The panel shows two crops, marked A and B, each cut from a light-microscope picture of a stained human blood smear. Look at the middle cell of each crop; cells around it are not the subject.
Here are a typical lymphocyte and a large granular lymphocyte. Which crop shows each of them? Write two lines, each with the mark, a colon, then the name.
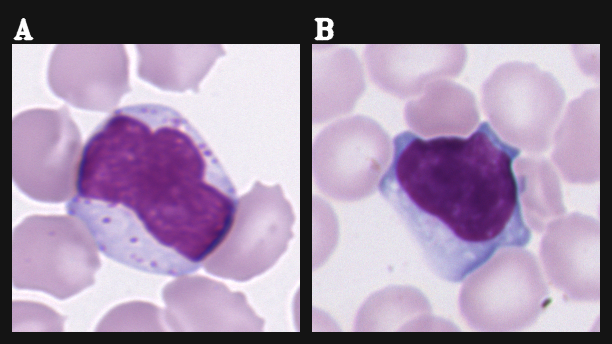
A: large granular lymphocyte
B: typical lymphocyte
